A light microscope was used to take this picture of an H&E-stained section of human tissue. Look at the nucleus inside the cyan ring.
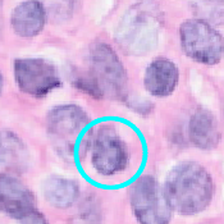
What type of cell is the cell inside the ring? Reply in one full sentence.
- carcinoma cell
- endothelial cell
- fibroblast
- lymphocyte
As to its cell type, the cell inside the ring is a carcinoma cell.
